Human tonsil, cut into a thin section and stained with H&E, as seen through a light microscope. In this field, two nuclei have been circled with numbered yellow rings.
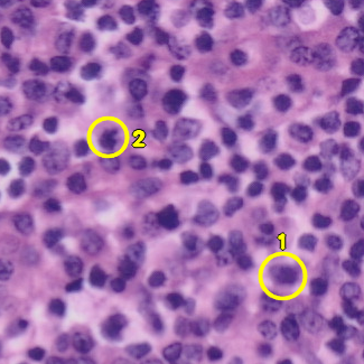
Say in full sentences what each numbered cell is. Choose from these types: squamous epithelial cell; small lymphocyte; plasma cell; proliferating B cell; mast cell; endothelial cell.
Cell 1 is a proliferating B cell and cell 2 is a plasma cell.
